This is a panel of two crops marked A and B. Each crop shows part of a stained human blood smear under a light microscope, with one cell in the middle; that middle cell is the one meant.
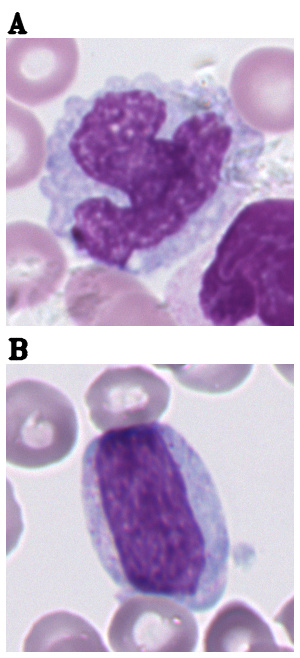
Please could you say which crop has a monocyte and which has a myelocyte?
A: monocyte
B: myelocyte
